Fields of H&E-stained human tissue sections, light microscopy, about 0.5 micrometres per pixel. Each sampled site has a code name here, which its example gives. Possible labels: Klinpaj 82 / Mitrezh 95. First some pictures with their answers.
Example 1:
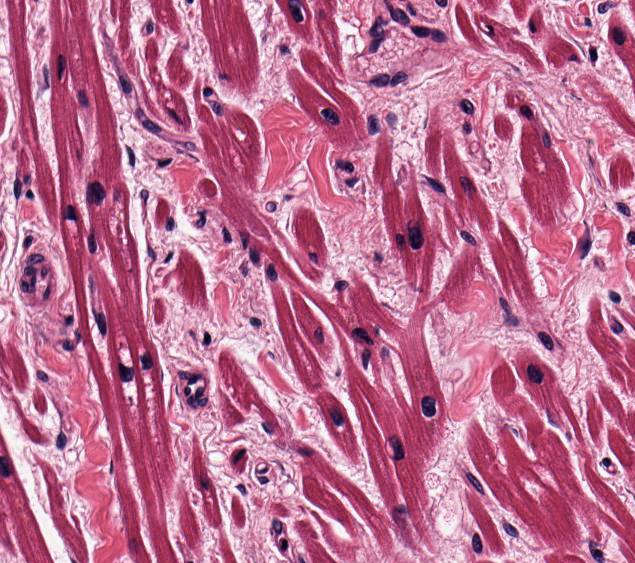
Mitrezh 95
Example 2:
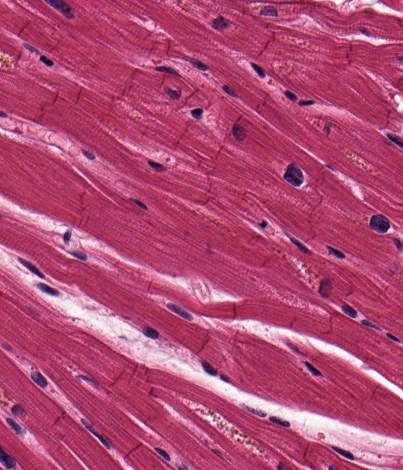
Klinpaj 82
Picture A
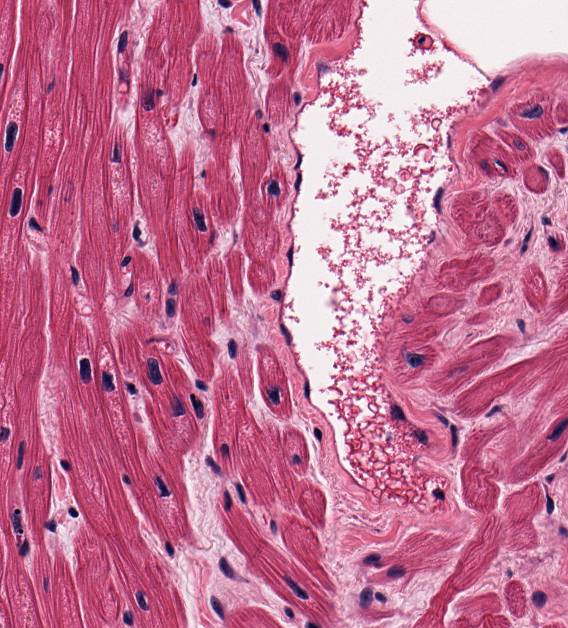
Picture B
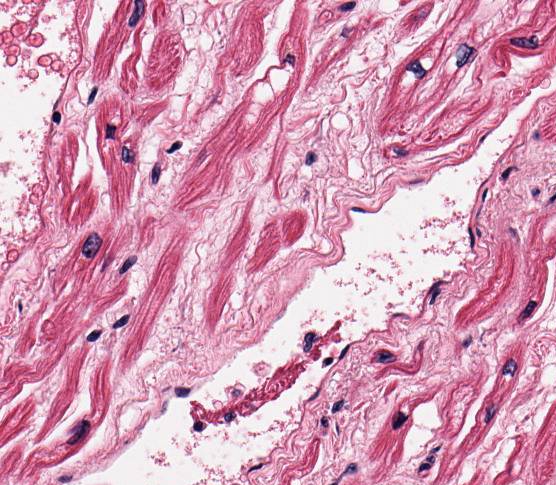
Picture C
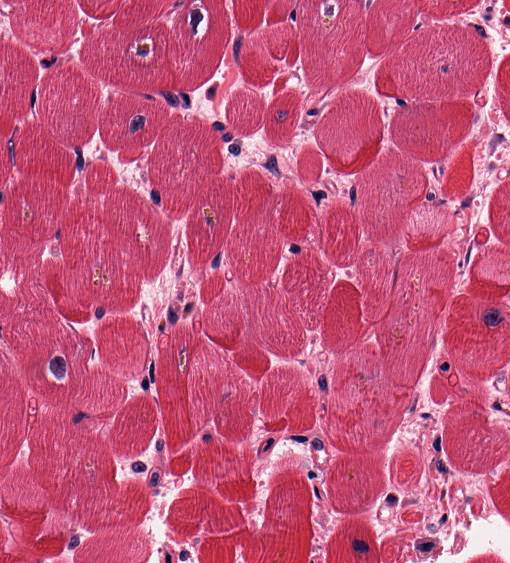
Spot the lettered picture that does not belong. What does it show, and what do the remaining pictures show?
Odd one out: C (Klinpaj 82). The rest: Mitrezh 95.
